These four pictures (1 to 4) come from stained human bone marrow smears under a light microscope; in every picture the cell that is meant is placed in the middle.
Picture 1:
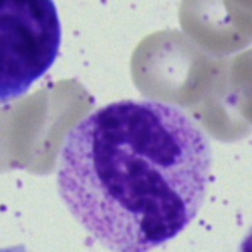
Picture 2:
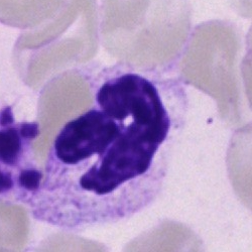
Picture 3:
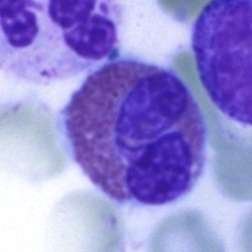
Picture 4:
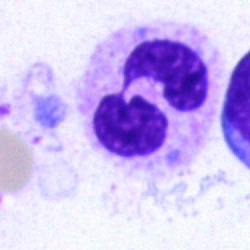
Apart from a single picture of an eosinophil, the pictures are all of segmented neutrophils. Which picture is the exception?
3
